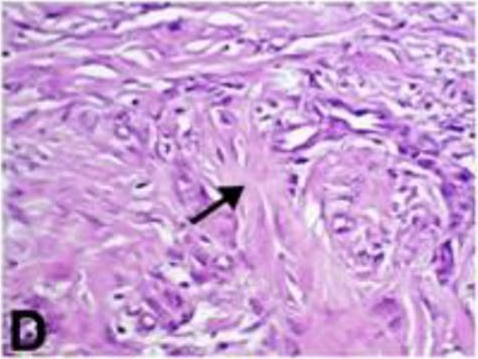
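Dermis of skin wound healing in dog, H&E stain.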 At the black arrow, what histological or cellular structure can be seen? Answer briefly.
Collagen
